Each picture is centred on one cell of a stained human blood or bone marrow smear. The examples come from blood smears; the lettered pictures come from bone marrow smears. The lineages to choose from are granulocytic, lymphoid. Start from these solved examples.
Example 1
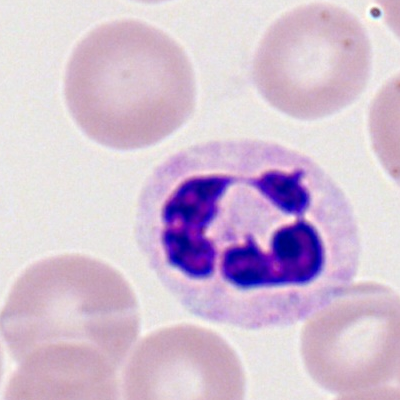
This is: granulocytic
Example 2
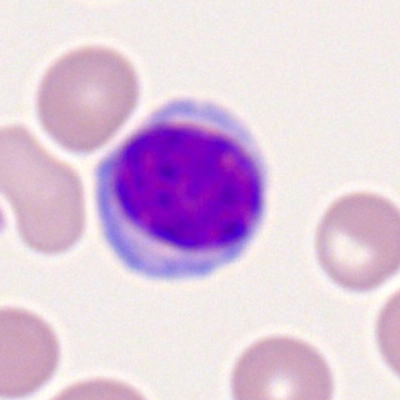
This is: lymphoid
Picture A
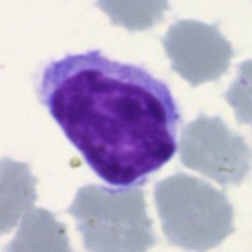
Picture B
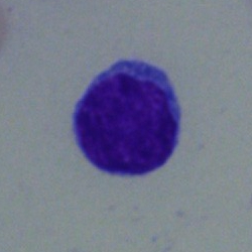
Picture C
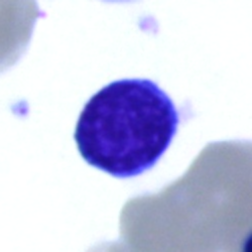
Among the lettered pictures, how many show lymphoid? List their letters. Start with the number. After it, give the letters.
Count: 3 (A, B, C)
